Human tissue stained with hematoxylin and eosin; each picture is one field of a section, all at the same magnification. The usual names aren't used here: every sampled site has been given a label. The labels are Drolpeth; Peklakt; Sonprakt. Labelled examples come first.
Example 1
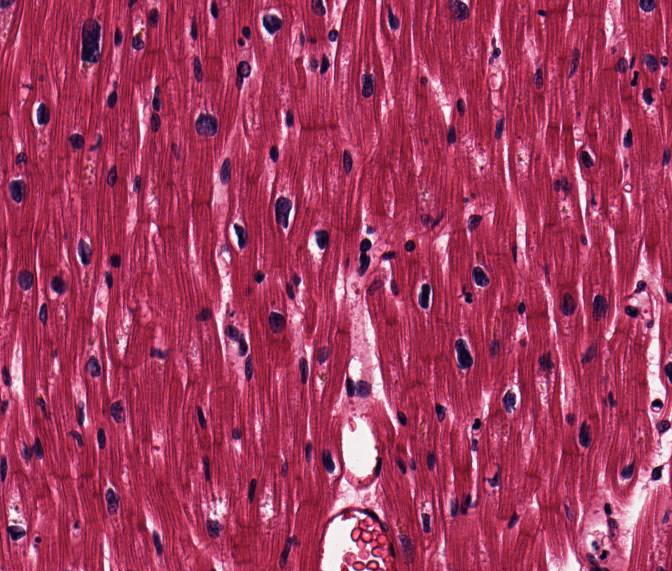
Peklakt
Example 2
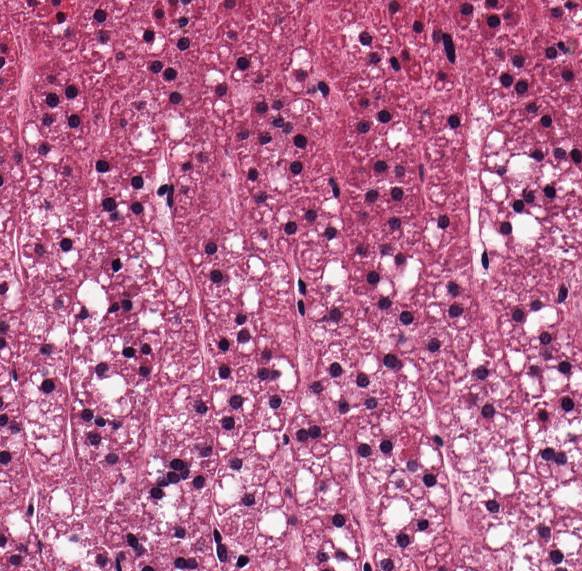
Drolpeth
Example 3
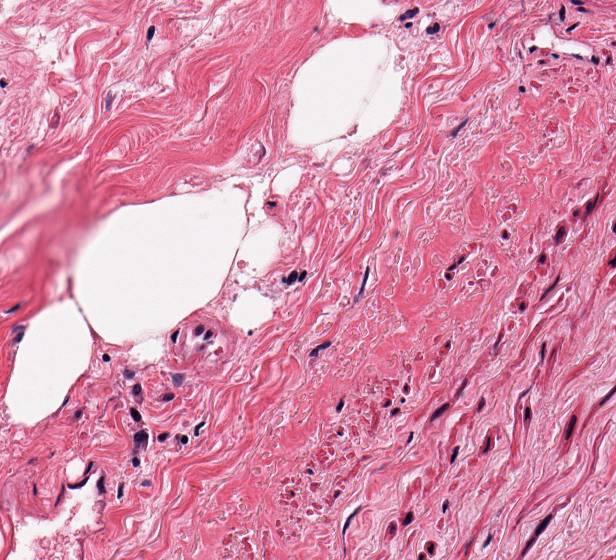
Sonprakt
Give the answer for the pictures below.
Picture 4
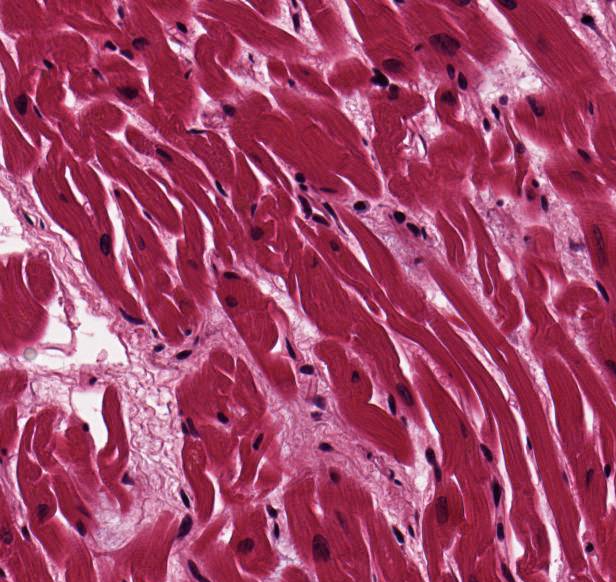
Peklakt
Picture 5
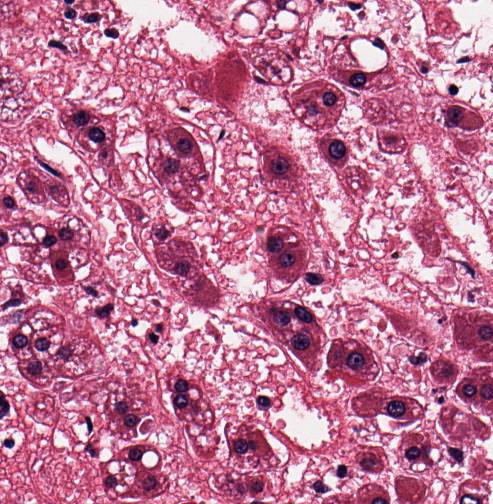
Drolpeth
